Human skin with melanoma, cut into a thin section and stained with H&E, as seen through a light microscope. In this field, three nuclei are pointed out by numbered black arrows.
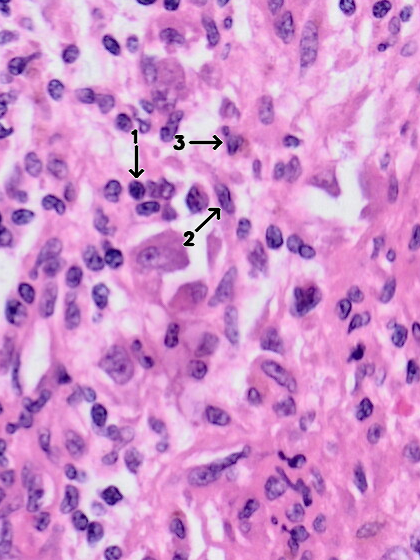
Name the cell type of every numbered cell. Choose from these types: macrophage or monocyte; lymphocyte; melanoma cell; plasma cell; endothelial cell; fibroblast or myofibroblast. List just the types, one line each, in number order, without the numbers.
lymphocyte
macrophage or monocyte
macrophage or monocyte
